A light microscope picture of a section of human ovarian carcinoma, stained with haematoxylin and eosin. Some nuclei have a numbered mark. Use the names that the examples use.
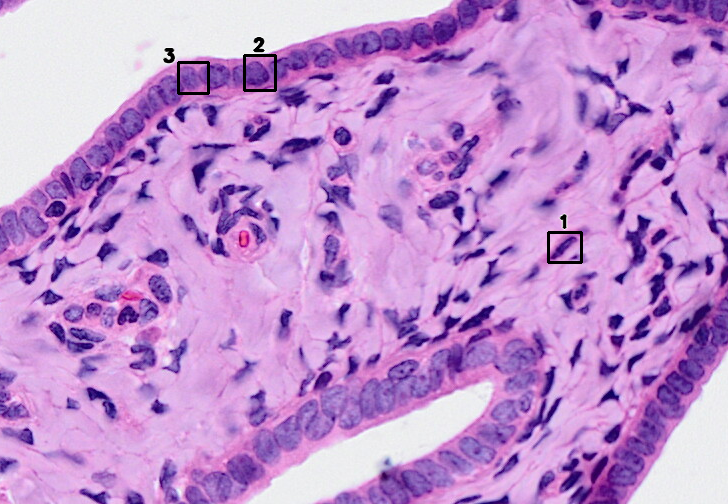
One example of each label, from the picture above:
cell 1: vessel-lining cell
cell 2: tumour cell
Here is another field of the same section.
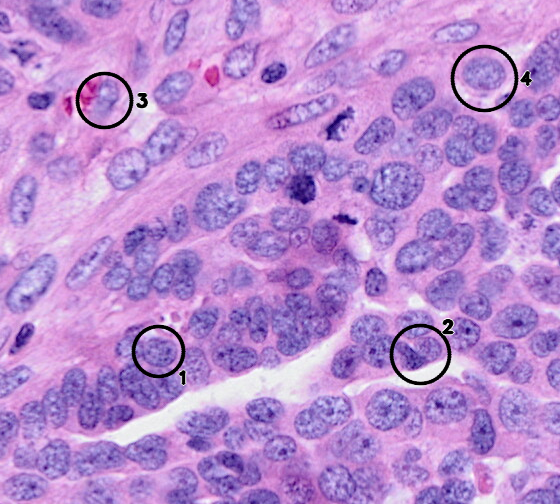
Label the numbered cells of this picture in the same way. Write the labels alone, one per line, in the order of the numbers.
tumour cell
tumour cell
vessel-lining cell
tumour cell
